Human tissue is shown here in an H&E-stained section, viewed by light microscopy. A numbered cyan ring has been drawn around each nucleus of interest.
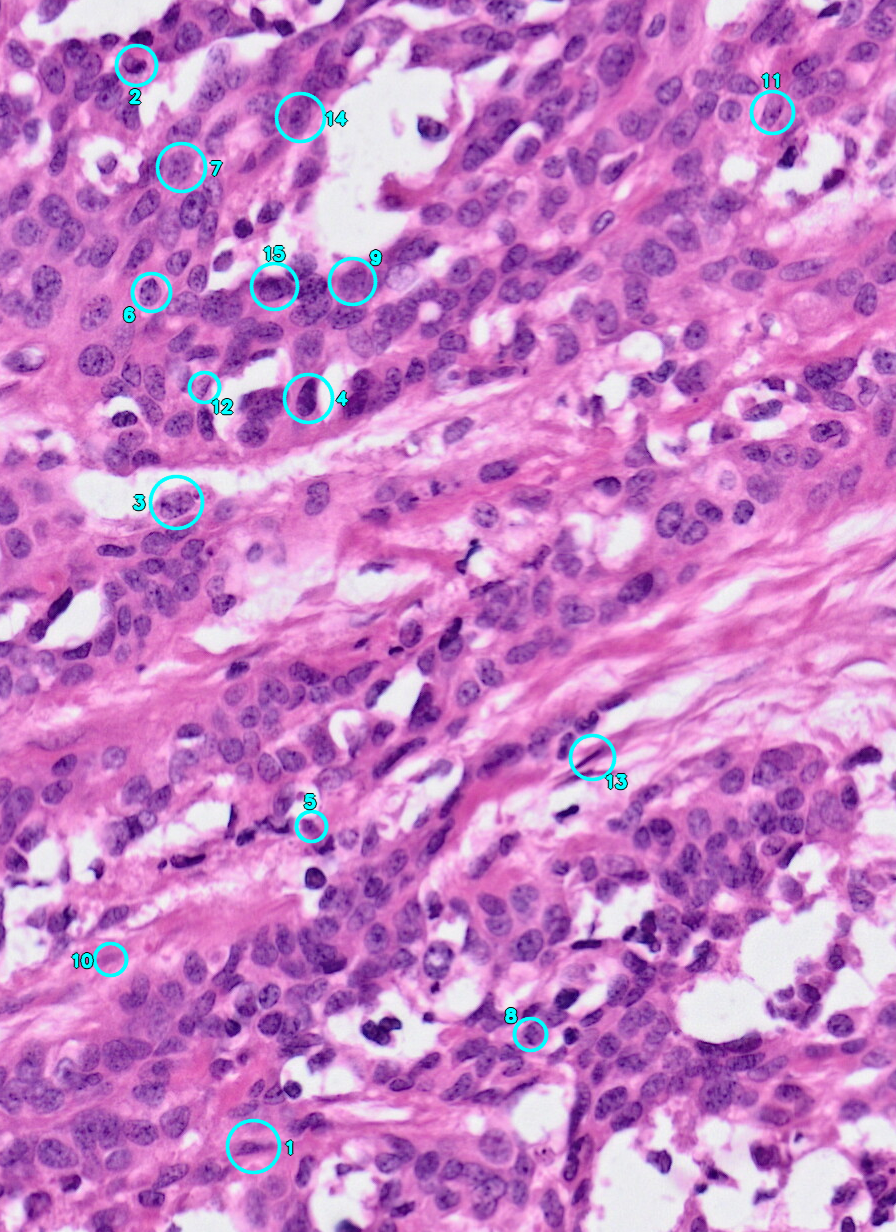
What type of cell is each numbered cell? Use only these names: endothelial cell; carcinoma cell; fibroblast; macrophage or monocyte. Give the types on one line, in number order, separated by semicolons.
endothelial cell; carcinoma cell; macrophage or monocyte; carcinoma cell; macrophage or monocyte; macrophage or monocyte; carcinoma cell; macrophage or monocyte; carcinoma cell; fibroblast; macrophage or monocyte; macrophage or monocyte; fibroblast; carcinoma cell; carcinoma cell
